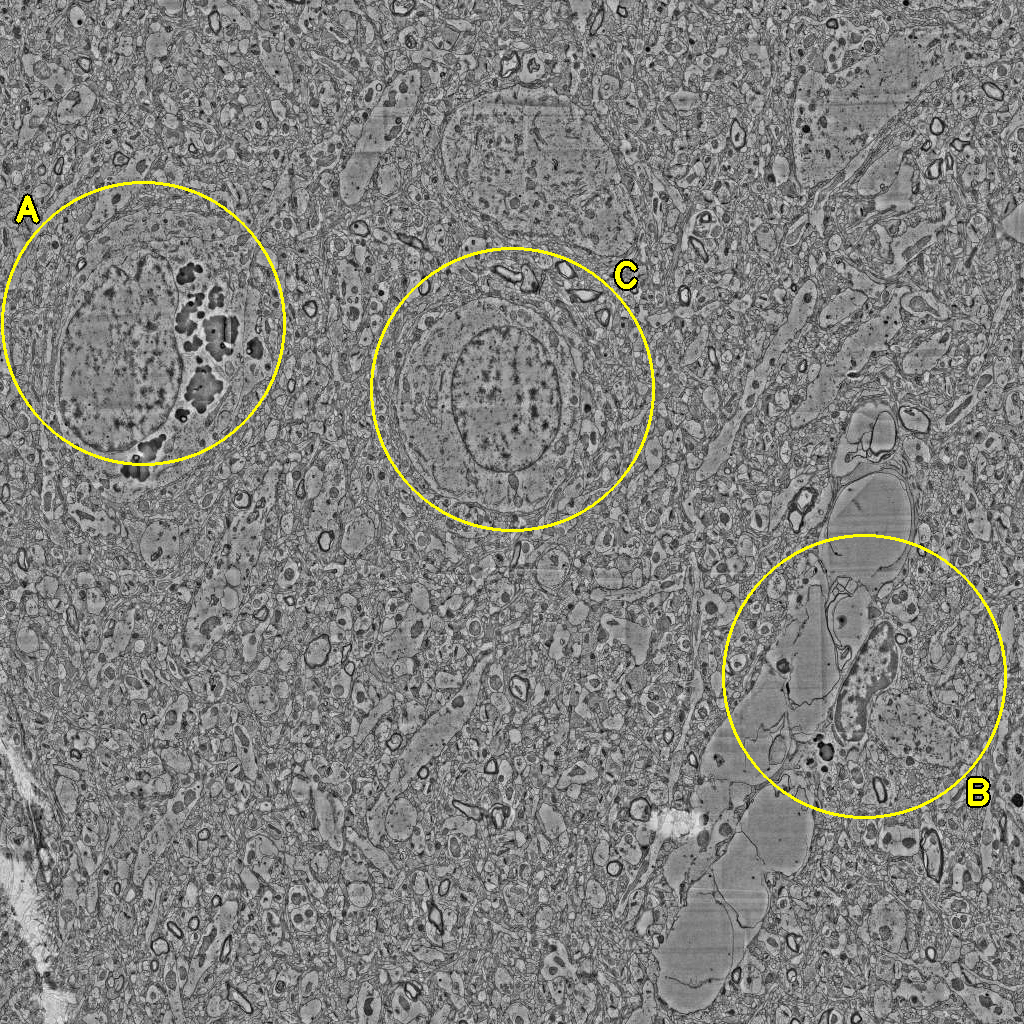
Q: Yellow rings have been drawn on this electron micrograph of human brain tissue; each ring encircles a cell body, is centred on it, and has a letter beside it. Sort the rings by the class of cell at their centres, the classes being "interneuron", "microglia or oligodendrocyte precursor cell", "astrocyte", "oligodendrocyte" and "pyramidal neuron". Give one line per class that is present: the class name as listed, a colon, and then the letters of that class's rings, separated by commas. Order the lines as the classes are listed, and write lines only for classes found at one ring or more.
interneuron: A
microglia or oligodendrocyte precursor cell: B
pyramidal neuron: C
